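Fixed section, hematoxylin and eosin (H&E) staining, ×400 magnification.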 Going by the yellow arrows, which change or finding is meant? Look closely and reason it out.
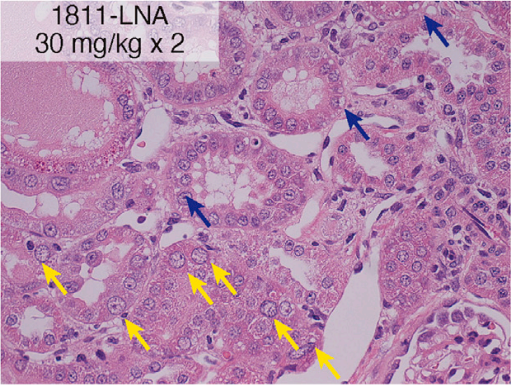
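Nuclear enlargement. The arrowed nuclei in the tubule lining are larger and rounder than neighbouring nuclei. The arrowed nuclei have pale chromatin with prominent nucleoli. The arrowed cells line tubules.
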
